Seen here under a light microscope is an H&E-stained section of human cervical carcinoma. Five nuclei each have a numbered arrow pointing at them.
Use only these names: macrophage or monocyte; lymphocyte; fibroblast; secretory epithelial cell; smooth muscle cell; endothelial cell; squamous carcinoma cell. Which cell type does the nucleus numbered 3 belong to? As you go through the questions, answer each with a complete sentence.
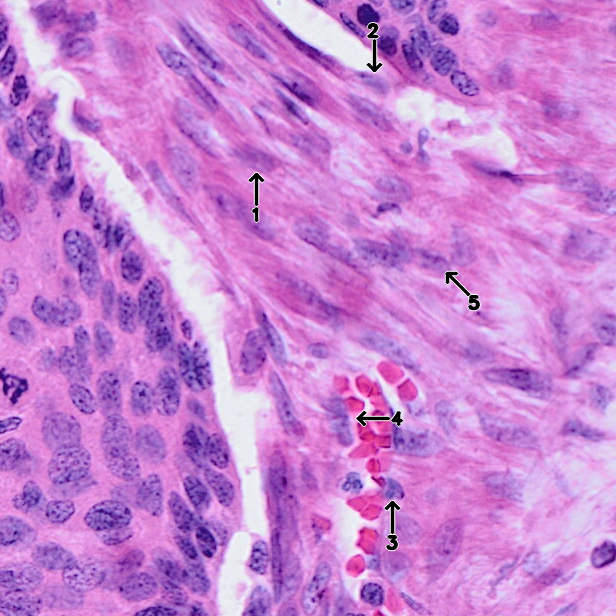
Heads up, the cell numbered 3 is an endothelial cell.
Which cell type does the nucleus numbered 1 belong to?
The cell marked with number 1 is a fibroblast.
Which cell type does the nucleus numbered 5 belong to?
Nucleus 5 in this section belongs to a fibroblast.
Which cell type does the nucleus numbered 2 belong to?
The one labeled 2 is a fibroblast, to put it simply.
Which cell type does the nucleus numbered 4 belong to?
The cell referenced by the number 4 is an endothelial cell in this field.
